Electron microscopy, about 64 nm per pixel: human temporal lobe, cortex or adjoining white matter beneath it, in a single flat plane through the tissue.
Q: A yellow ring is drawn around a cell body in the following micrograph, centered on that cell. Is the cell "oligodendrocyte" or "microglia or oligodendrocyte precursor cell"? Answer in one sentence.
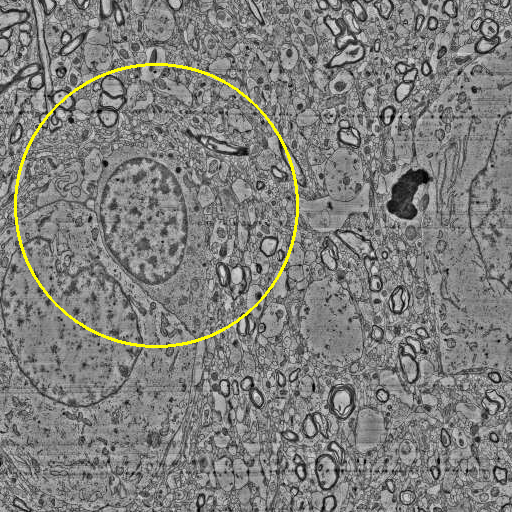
The cell in the center of the ring is an oligodendrocyte.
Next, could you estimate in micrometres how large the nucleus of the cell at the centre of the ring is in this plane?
In this plane, about 8 micrometres in length and 5 in width.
